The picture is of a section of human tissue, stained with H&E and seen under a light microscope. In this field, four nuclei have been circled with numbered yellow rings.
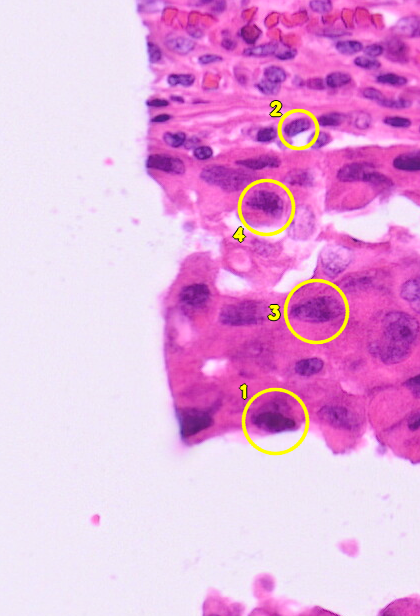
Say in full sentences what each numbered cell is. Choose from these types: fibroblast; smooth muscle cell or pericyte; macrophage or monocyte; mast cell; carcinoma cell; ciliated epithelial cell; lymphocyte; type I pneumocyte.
Cells 1, 3 and 4 are carcinoma cells. Cell 2 is a lymphocyte.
